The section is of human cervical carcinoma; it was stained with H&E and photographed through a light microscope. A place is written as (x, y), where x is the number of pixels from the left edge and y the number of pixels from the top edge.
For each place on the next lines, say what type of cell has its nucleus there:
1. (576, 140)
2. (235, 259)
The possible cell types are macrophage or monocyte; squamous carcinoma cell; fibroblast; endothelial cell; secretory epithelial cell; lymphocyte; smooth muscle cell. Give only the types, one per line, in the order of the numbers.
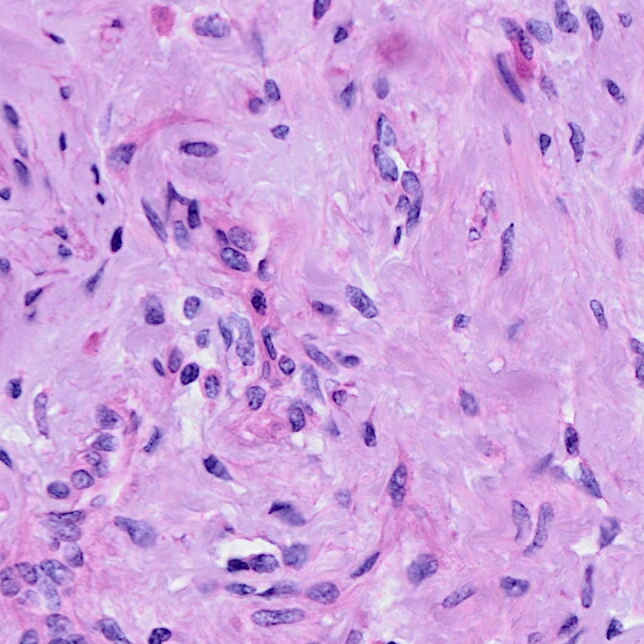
fibroblast
endothelial cell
